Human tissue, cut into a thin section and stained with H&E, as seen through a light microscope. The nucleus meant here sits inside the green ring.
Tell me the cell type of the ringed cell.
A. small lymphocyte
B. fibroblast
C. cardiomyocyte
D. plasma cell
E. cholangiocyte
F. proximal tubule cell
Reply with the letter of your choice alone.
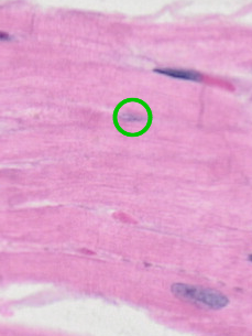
C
